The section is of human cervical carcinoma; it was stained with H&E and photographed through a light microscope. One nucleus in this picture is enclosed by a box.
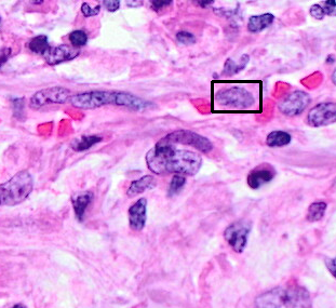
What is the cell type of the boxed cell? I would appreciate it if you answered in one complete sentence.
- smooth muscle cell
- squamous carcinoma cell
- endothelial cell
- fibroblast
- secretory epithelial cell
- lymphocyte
On this particular slide, the boxed cell is an endothelial cell.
